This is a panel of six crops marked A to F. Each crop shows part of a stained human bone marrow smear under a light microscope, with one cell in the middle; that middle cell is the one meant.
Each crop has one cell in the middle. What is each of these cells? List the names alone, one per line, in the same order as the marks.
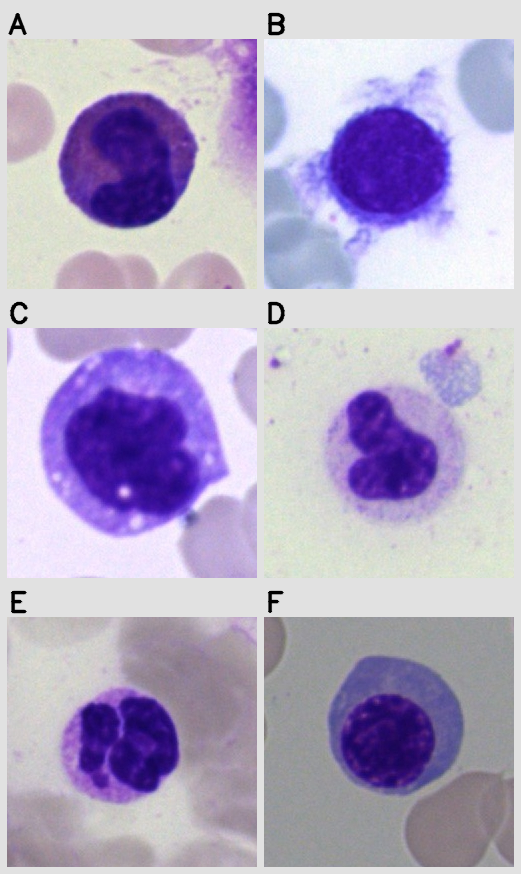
eosinophil
hairy cell
monocyte
band neutrophil
segmented neutrophil
erythroblast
